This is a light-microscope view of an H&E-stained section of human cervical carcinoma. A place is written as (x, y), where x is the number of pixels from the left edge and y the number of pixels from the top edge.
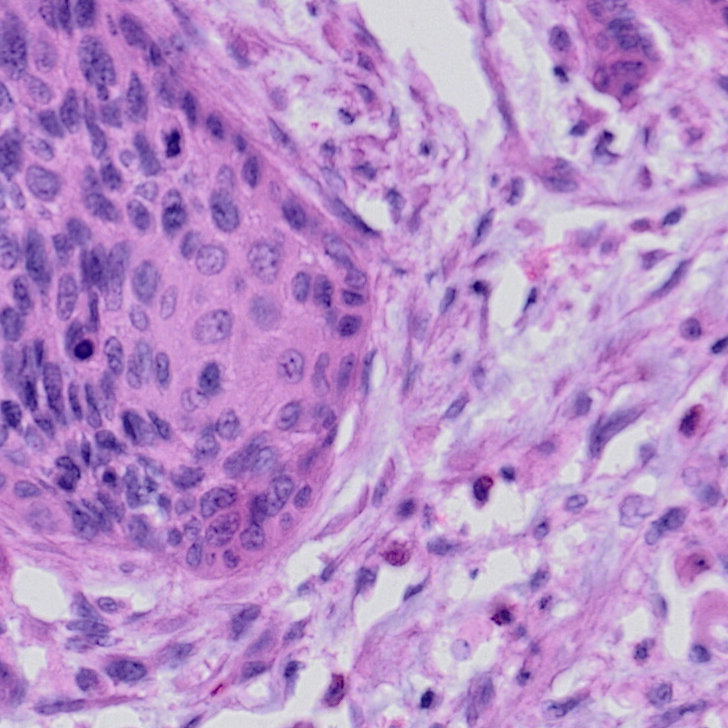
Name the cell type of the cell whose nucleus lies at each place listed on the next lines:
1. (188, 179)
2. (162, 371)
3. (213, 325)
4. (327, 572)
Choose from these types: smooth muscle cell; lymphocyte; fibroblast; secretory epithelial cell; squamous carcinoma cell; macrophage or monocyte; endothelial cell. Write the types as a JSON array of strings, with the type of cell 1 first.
["squamous carcinoma cell", "squamous carcinoma cell", "squamous carcinoma cell", "fibroblast"]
